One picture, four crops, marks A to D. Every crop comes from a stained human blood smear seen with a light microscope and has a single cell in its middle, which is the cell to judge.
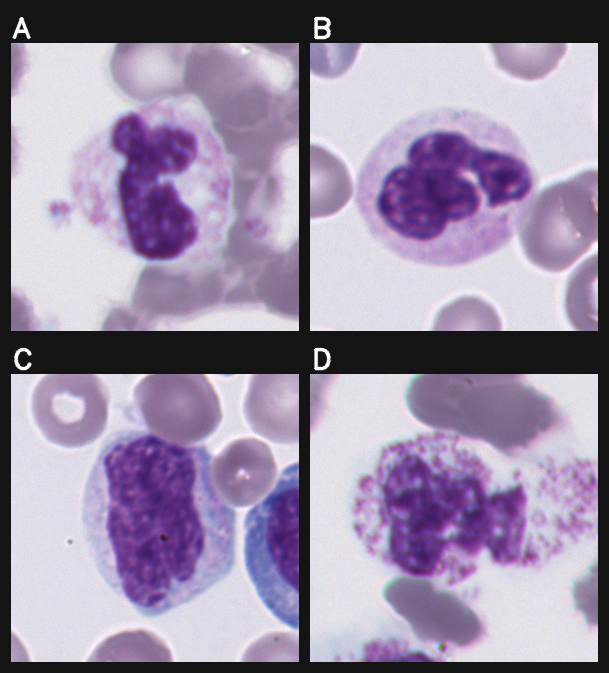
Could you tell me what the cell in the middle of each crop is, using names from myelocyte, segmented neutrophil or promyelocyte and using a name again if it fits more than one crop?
A: segmented neutrophil
B: segmented neutrophil
C: myelocyte
D: segmented neutrophil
